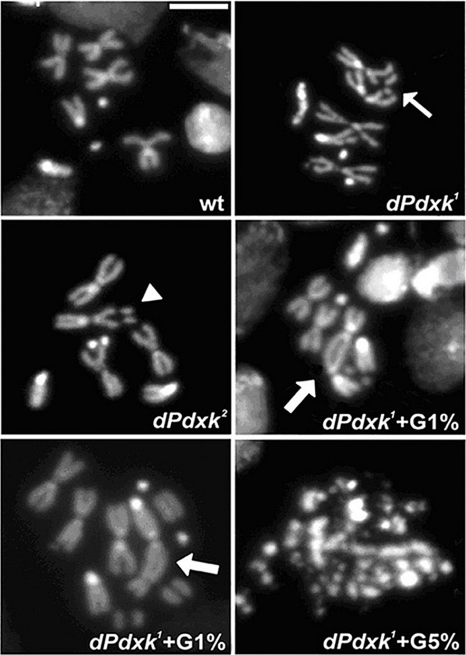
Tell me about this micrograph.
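Most spreads show a small set of separate chromosomes with paired sister chromatids, but in some there are abnormally long chromosomes joined end to end or small broken-off pieces. One spread is shattered into many small scattered bright fragments instead of whole chromosomes.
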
